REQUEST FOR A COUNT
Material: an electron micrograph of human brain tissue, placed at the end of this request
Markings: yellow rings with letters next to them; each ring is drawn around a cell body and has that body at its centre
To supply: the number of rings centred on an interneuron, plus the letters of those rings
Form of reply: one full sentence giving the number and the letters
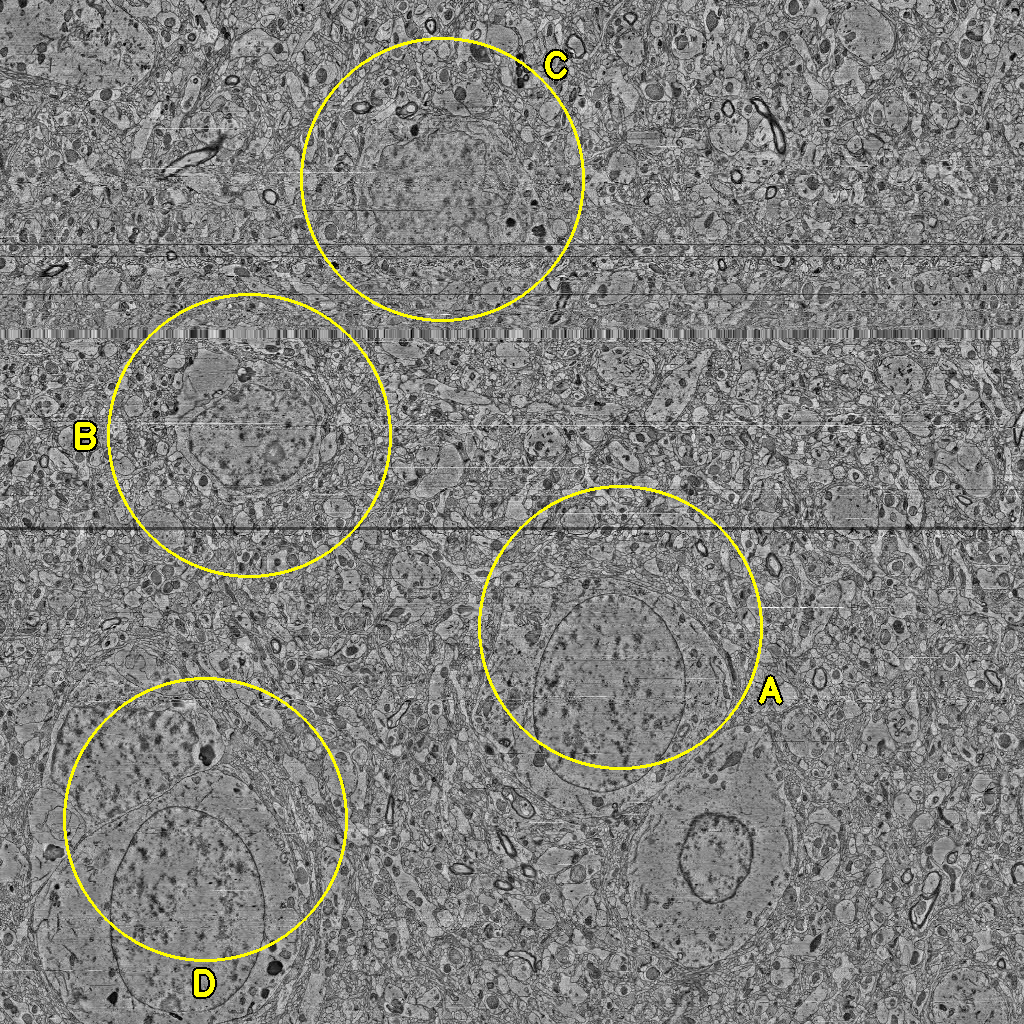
The two rings that bear the letters B and C have each been centred on an interneuron.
